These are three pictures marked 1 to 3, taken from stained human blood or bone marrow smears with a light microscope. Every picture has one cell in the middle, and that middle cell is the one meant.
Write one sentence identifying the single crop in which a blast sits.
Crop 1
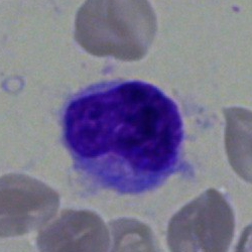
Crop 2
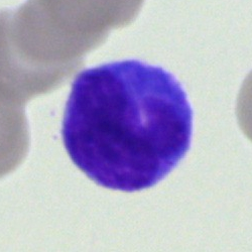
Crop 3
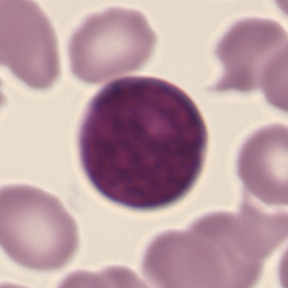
It is the cell in crop 3 that is a blast.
